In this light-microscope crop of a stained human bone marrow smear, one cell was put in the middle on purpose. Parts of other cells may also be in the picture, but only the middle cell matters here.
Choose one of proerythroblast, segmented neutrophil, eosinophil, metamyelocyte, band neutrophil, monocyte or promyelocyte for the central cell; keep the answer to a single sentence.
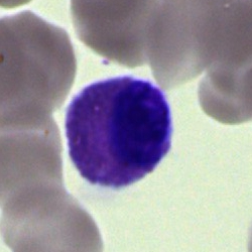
The crop shows an eosinophil in its centre.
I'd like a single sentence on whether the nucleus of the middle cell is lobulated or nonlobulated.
The nucleus amounts to one compact mass with a round, oval or kidney-shaped outline.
